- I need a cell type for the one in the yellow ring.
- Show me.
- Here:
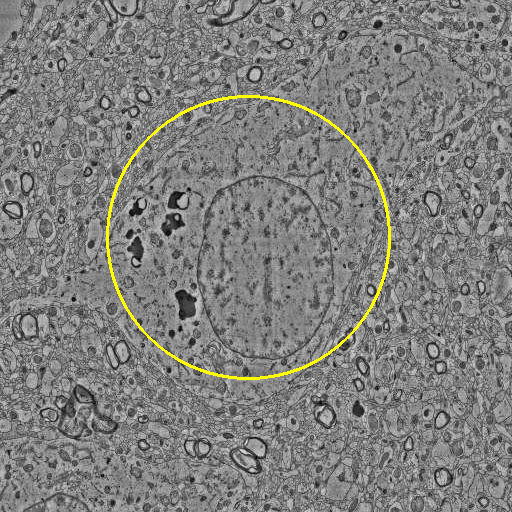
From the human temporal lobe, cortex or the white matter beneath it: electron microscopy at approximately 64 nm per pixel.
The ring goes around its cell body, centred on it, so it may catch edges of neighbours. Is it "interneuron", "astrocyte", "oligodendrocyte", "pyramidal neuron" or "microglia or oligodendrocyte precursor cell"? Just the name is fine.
pyramidal neuron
